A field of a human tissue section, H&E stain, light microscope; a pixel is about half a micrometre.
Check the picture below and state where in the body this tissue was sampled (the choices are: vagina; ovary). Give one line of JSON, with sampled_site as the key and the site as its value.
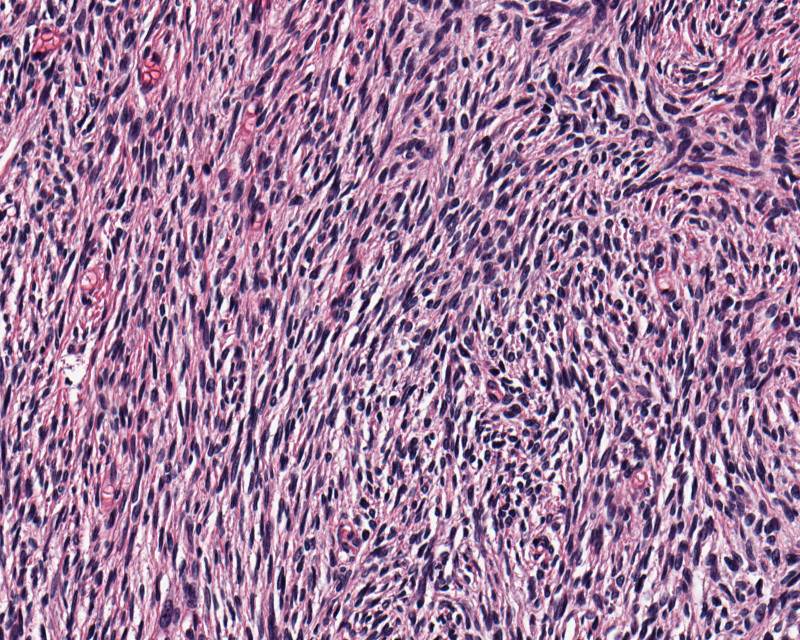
{"sampled_site": "ovary"}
